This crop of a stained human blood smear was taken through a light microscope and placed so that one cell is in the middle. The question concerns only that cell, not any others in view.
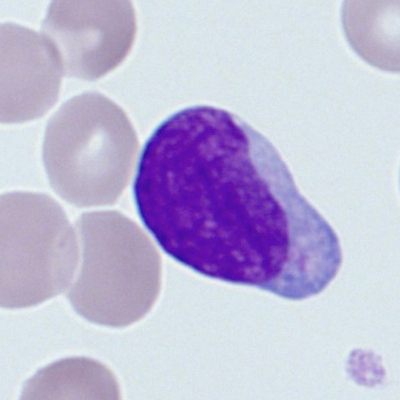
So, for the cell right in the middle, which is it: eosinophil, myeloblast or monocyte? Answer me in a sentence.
What the crop centres on is a myeloblast.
